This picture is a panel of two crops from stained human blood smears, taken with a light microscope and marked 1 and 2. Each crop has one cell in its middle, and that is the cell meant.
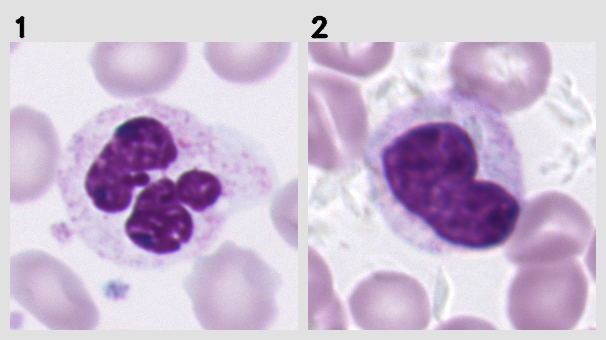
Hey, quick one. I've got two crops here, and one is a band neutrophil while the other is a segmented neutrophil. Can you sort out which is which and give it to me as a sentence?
Crop 1 corresponds to a segmented neutrophil, and crop 2 corresponds to a band neutrophil.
